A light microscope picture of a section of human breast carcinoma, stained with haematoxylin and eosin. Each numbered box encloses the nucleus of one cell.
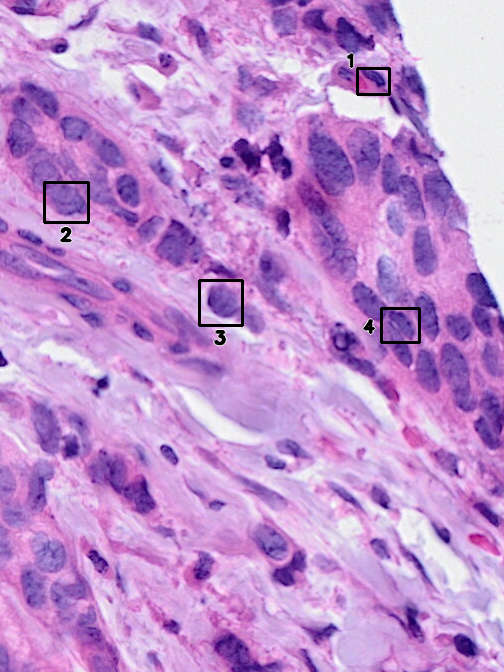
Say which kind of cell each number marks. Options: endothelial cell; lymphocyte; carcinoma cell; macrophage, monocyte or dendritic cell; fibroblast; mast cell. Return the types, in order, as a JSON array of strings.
["endothelial cell", "carcinoma cell", "carcinoma cell", "carcinoma cell"]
